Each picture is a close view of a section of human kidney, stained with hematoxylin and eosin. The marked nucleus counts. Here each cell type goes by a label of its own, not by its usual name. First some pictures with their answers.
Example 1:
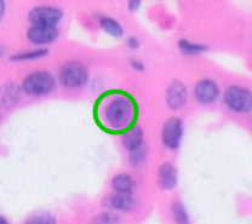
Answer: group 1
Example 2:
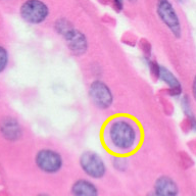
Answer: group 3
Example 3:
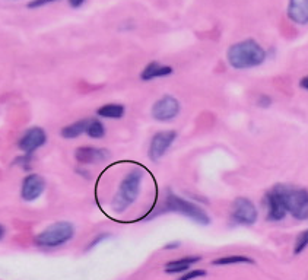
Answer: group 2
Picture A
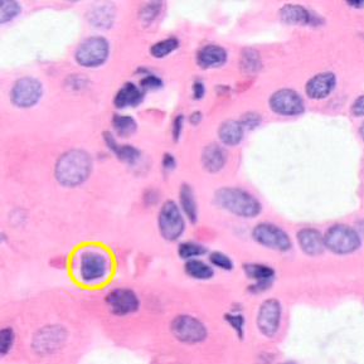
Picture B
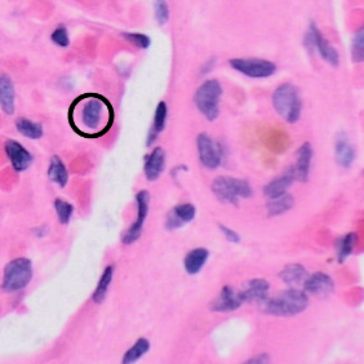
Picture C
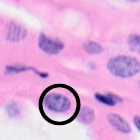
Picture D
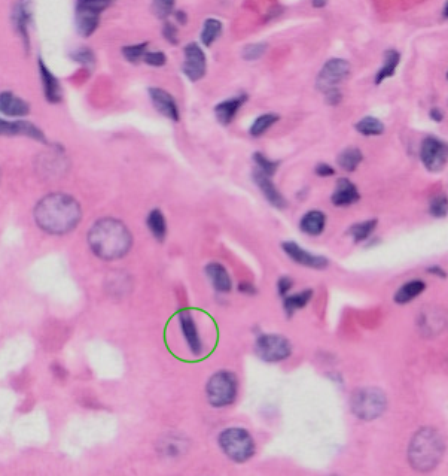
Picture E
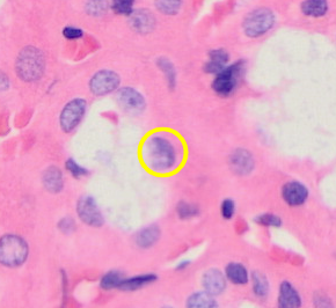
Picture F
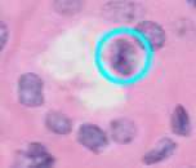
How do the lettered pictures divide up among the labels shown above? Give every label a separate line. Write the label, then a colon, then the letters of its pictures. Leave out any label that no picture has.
group 1: F
group 3: C, E
group 2: A, B, D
